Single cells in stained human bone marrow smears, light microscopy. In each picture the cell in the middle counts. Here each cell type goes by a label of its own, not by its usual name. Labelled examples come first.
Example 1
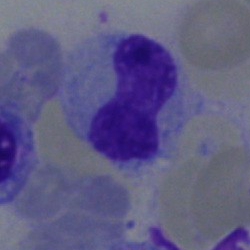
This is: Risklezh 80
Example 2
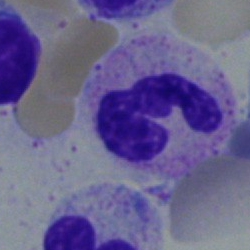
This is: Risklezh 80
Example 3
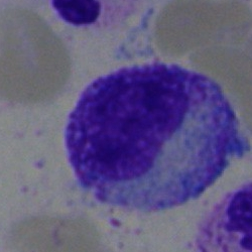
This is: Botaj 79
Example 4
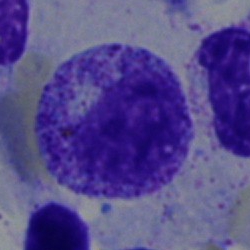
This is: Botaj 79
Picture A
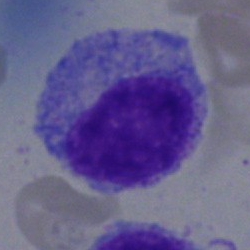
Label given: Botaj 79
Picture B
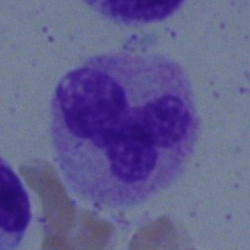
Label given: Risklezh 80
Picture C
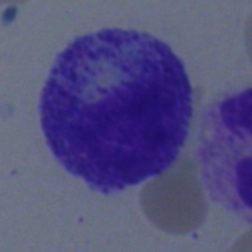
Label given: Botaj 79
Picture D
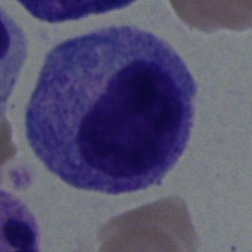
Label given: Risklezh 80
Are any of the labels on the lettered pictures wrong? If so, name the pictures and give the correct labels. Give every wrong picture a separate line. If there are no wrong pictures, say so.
D: change Risklezh 80 to Botaj 79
